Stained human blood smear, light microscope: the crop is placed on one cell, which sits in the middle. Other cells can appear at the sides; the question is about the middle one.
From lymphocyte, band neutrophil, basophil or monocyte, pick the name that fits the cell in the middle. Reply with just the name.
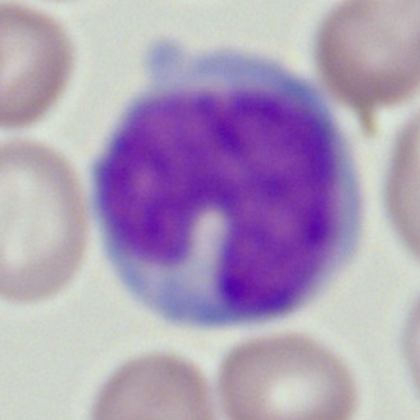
monocyte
